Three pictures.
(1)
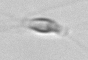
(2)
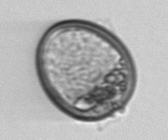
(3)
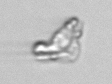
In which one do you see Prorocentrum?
In picture 2.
